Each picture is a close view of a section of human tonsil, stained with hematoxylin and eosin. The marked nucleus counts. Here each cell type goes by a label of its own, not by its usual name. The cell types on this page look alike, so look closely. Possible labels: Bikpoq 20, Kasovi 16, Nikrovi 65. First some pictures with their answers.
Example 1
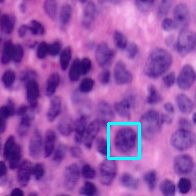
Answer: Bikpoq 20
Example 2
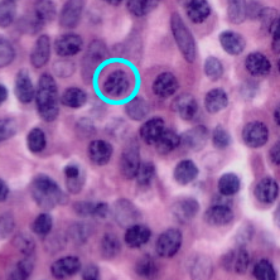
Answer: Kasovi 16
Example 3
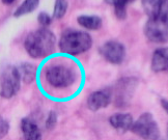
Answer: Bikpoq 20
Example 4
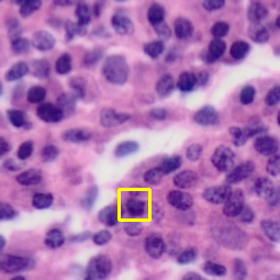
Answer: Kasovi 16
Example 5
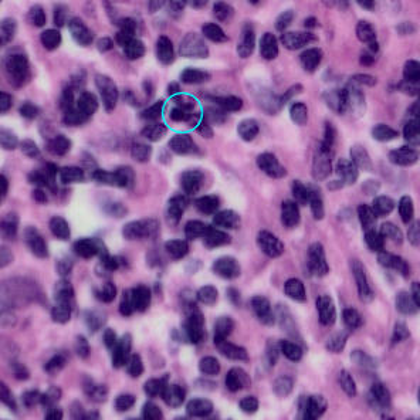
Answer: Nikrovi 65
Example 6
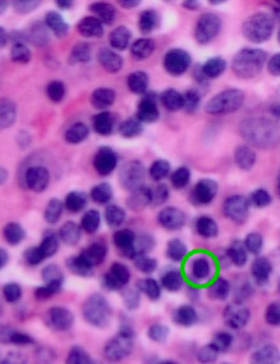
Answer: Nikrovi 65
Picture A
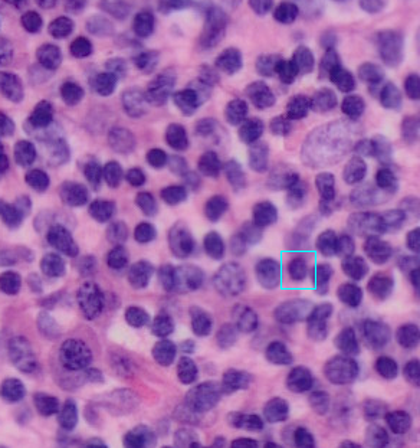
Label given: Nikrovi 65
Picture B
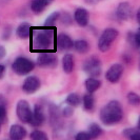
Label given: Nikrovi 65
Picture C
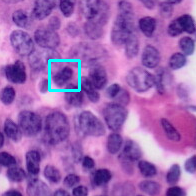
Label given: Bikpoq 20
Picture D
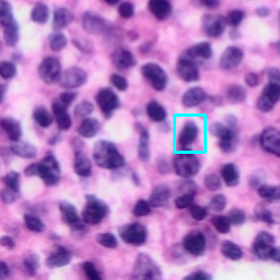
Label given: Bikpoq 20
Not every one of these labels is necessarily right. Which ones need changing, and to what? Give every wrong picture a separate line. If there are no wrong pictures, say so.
All labels are correct.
